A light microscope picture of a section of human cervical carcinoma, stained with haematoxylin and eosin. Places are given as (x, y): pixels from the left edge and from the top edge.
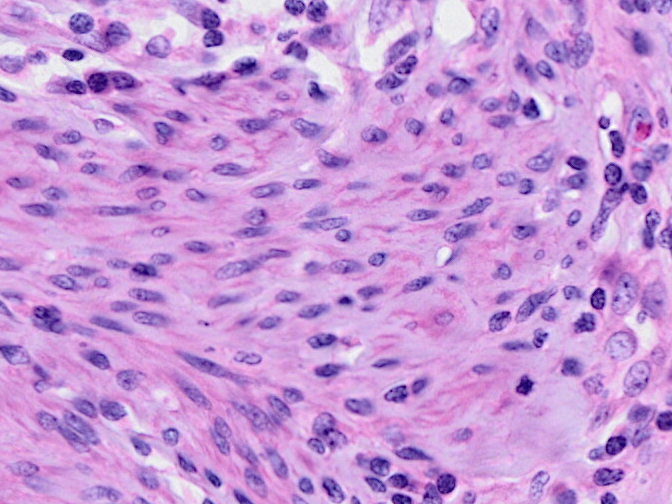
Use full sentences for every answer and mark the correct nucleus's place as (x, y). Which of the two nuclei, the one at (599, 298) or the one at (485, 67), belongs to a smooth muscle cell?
The one belonging to a smooth muscle cell is the nucleus at (485, 67), not the other.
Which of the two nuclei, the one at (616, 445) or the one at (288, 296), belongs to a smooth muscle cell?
The nucleus contained in a smooth muscle cell is the one at (288, 296).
